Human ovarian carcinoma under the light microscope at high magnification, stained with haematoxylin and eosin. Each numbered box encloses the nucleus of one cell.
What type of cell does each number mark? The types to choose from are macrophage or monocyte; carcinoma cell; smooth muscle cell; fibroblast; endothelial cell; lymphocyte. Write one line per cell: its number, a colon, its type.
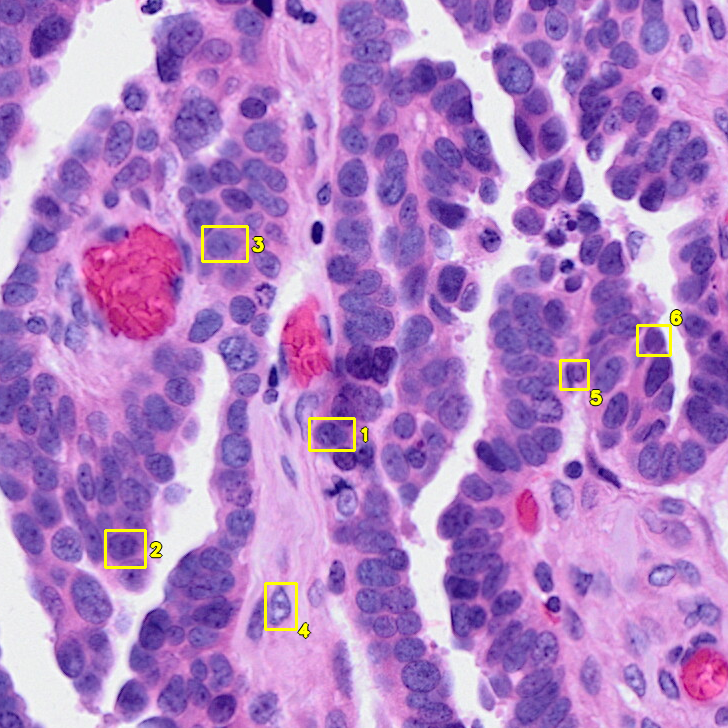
1: carcinoma cell
2: carcinoma cell
3: carcinoma cell
4: fibroblast
5: macrophage or monocyte
6: carcinoma cell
